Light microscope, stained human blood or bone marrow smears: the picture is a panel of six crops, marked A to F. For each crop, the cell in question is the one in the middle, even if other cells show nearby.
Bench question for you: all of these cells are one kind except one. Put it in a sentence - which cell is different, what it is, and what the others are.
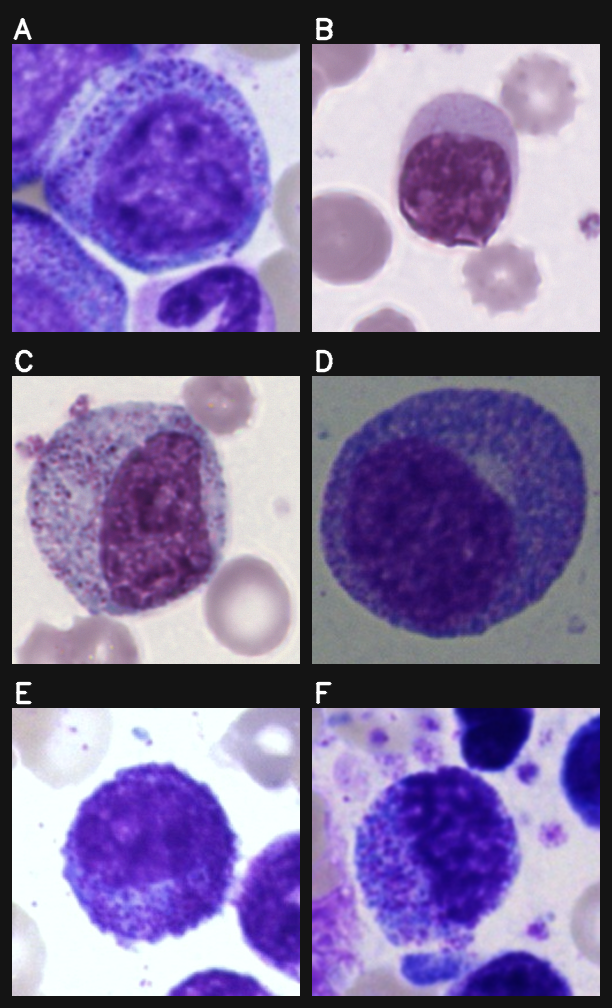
Seen in crop B is a plasma cell, and seen in all other crops are promyelocytes.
